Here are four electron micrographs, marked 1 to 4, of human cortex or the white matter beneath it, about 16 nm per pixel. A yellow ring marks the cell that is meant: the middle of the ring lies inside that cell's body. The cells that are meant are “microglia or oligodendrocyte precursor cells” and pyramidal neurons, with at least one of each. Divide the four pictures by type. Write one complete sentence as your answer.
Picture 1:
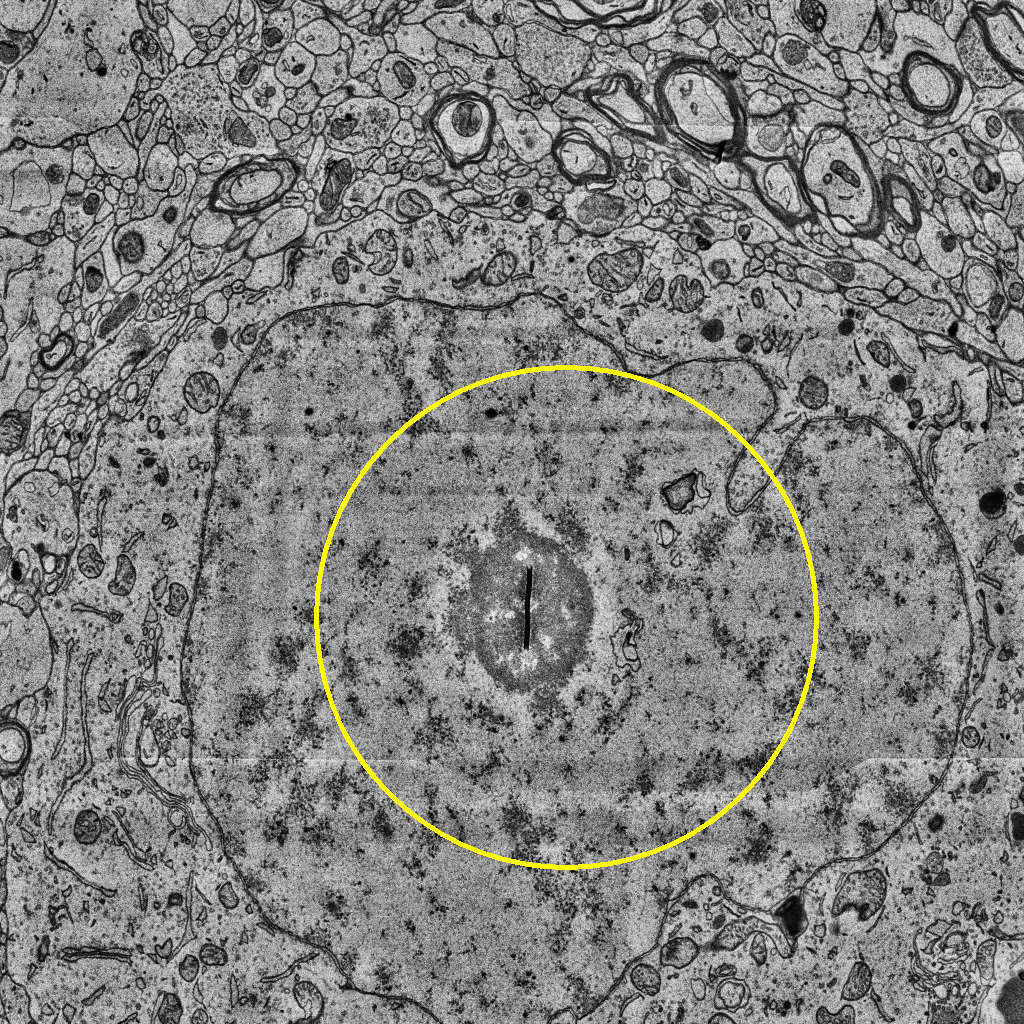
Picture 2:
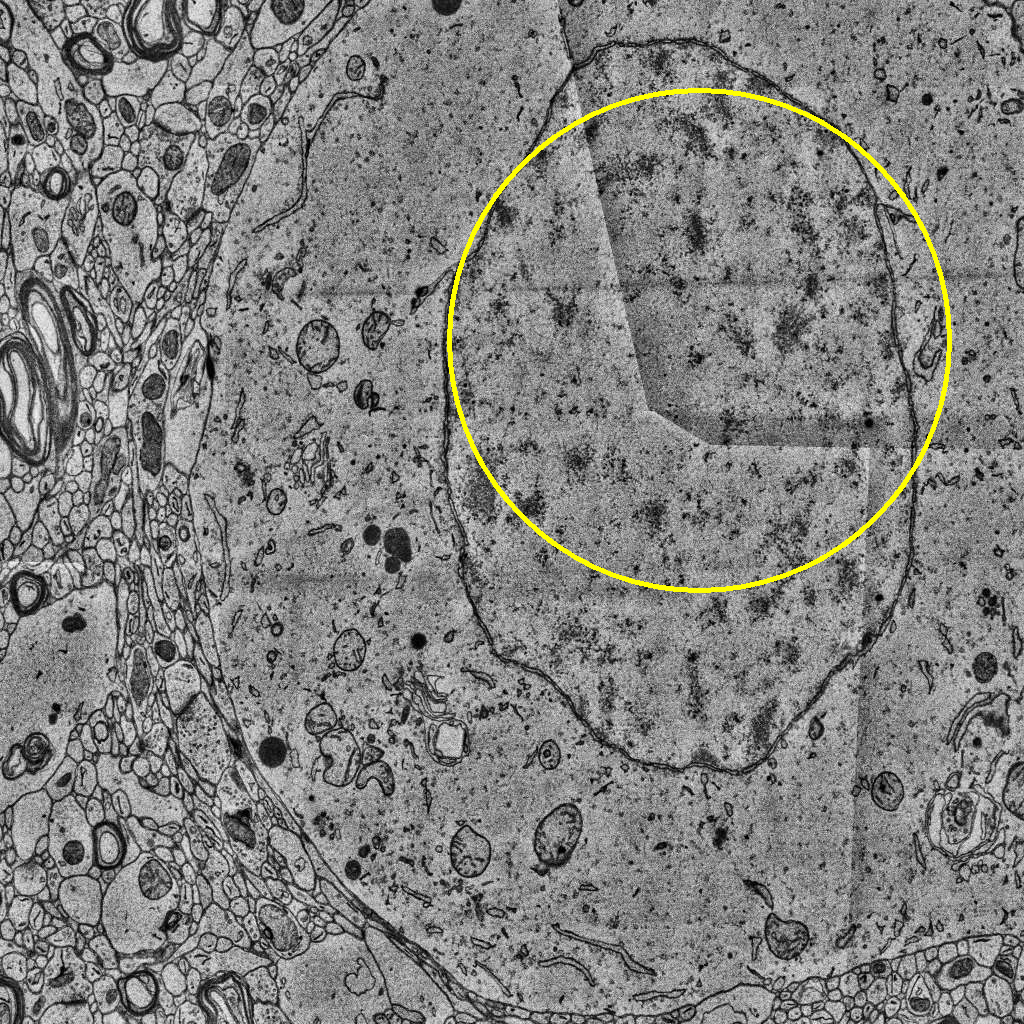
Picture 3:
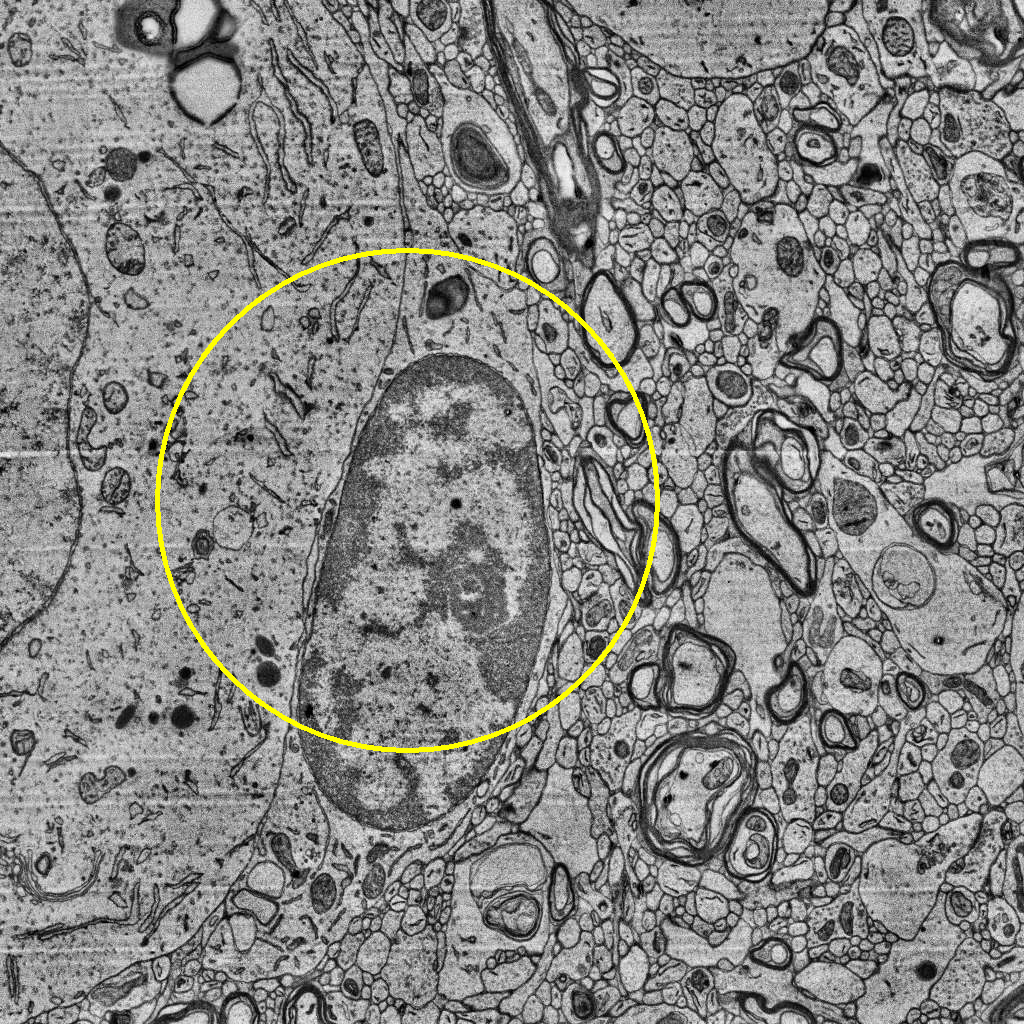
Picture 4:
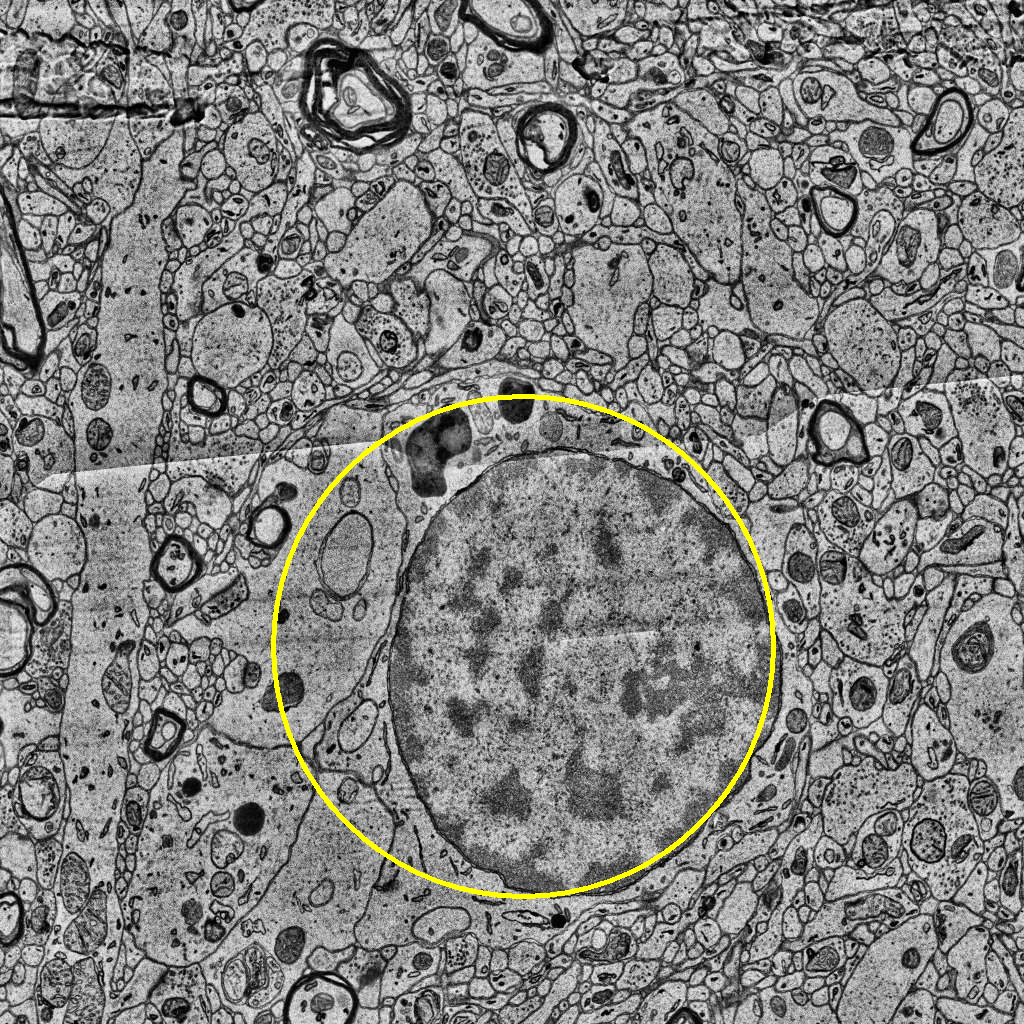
Pictures 3 and 4 show “microglia or oligodendrocyte precursor cells”, while pictures 1 and 2 show pyramidal neurons.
